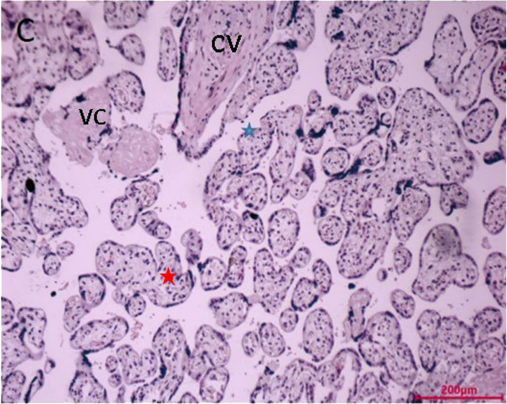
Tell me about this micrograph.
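This is placental tissue made of many chorionic villi of varying size and shape scattered in a pale space. The villi have a pale pink core dotted evenly with many small dark nuclei, and a thin surface layer where nuclei line the edge and in places form dark clusters. Near the top a large villus has a dense, streaked fibrous core, and to its left lies a pale pink, fairly featureless mass. Few red blood cells stand out within the villi here.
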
